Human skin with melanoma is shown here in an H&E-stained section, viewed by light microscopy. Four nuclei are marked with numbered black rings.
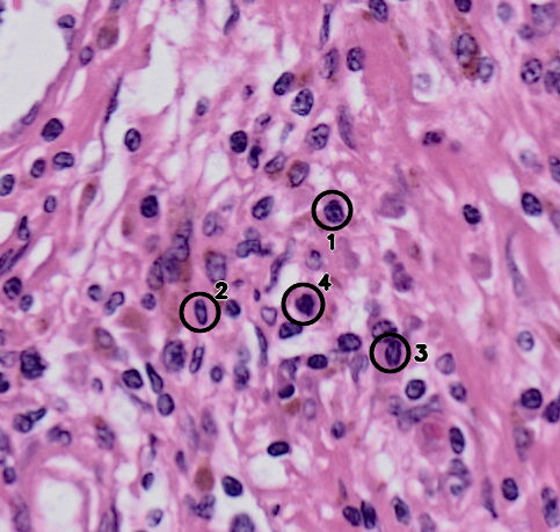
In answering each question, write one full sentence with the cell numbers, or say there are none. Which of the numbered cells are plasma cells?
The cells with numbers 1, 3 and 4 are plasma cells by type.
